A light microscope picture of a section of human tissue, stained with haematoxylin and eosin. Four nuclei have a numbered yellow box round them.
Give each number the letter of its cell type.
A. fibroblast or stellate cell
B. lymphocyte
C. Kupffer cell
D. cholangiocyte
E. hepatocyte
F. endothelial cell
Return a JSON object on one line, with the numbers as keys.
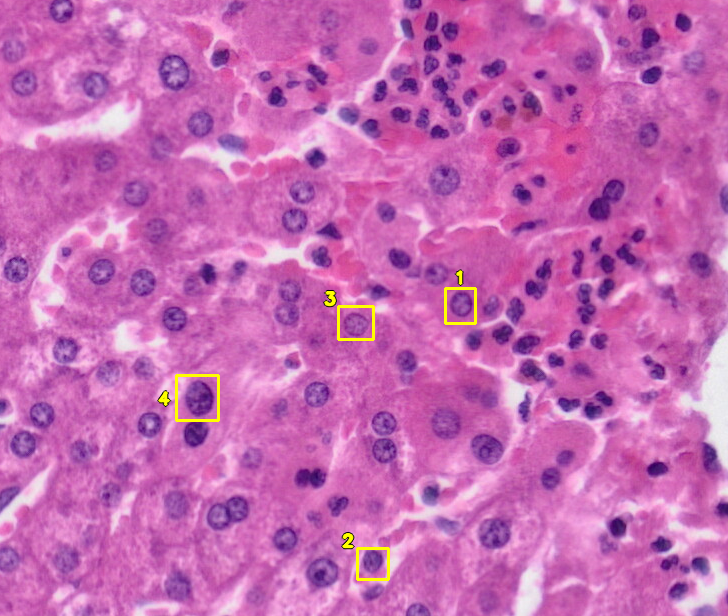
{"1": "E", "2": "C", "3": "E", "4": "E"}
